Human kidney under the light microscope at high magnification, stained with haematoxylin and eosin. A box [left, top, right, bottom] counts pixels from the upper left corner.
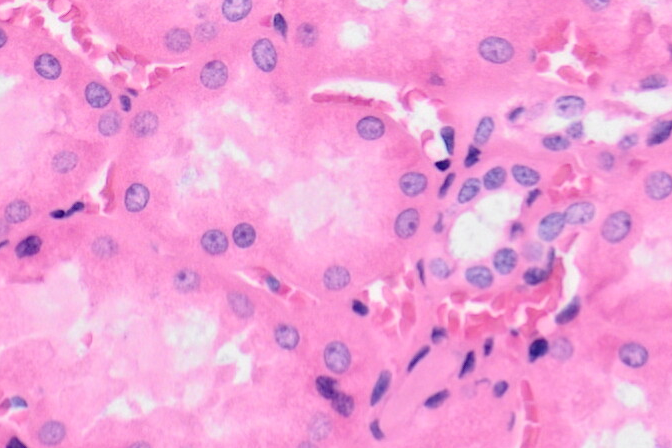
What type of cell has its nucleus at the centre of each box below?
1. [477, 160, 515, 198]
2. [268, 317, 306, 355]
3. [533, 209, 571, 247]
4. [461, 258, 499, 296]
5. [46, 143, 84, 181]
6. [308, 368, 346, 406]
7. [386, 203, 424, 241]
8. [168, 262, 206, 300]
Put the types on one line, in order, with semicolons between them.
collecting duct cell; proximal tubule cell; collecting duct cell; collecting duct cell; proximal tubule cell; proximal tubule cell; proximal tubule cell; proximal tubule cell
